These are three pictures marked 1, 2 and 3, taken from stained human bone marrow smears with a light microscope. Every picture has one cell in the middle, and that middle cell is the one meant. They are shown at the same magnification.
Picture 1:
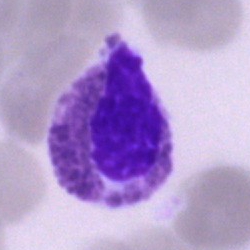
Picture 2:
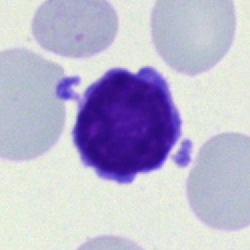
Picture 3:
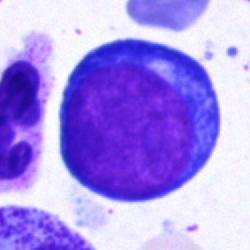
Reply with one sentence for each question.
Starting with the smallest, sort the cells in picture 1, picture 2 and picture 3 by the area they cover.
The order is 2, 1, 3, beginning with the smallest.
